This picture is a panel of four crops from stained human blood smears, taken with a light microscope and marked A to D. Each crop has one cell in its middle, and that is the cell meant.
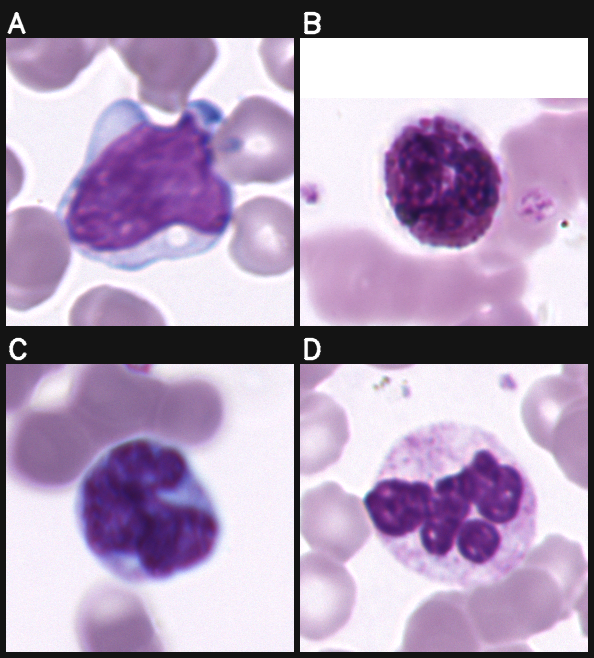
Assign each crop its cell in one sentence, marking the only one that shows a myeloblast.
Crop A has a myeloblast as its central cell, while crop B is an eosinophil, crop C is a monocyte and crop D is a segmented neutrophil.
